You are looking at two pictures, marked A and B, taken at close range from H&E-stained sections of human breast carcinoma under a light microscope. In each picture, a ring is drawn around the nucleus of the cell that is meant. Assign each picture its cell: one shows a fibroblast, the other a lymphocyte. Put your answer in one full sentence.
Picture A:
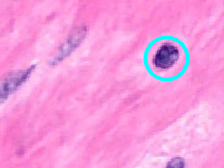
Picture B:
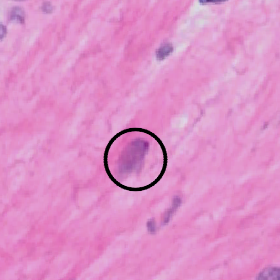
It is picture A that shows a lymphocyte, and picture B that shows a fibroblast.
